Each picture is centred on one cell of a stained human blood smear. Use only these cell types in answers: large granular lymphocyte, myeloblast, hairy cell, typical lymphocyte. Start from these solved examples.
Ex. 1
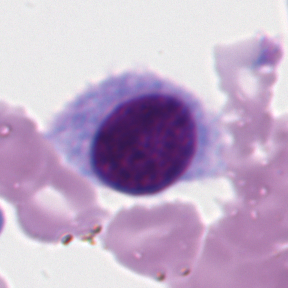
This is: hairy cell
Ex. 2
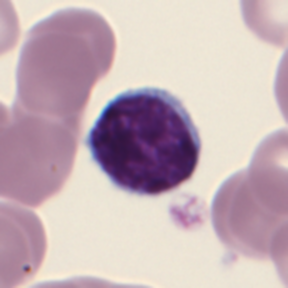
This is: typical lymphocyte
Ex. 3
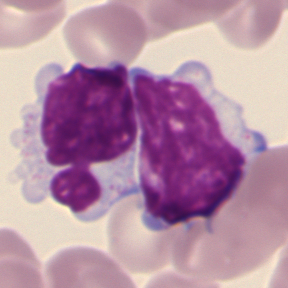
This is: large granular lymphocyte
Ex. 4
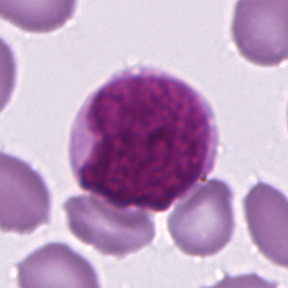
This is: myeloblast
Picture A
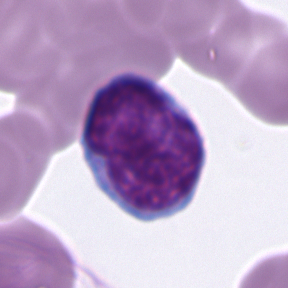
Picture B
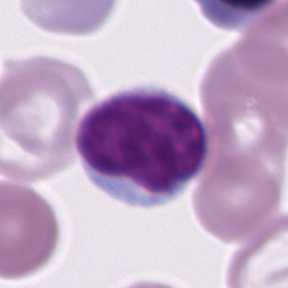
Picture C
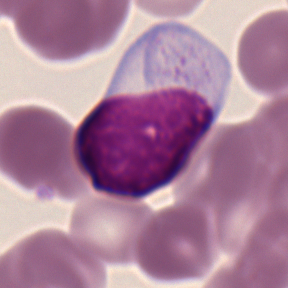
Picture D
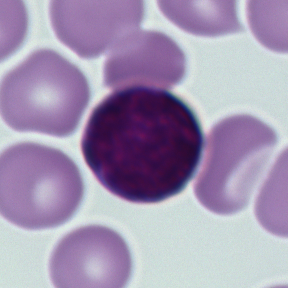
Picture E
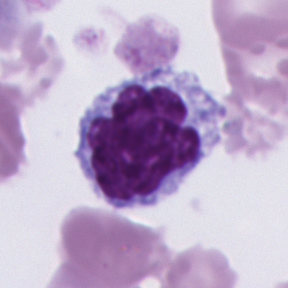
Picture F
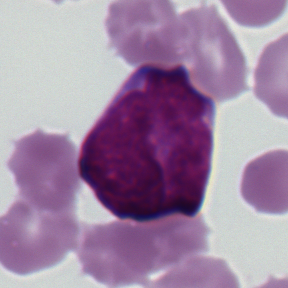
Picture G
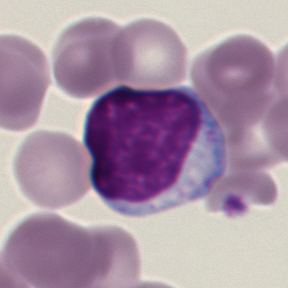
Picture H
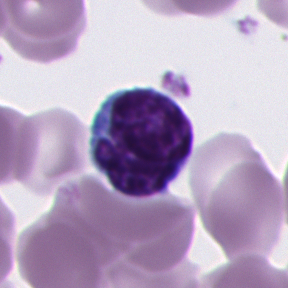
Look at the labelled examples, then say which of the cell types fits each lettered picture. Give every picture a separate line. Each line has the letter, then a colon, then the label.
A: typical lymphocyte
B: typical lymphocyte
C: large granular lymphocyte
D: myeloblast
E: typical lymphocyte
F: myeloblast
G: large granular lymphocyte
H: typical lymphocyte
